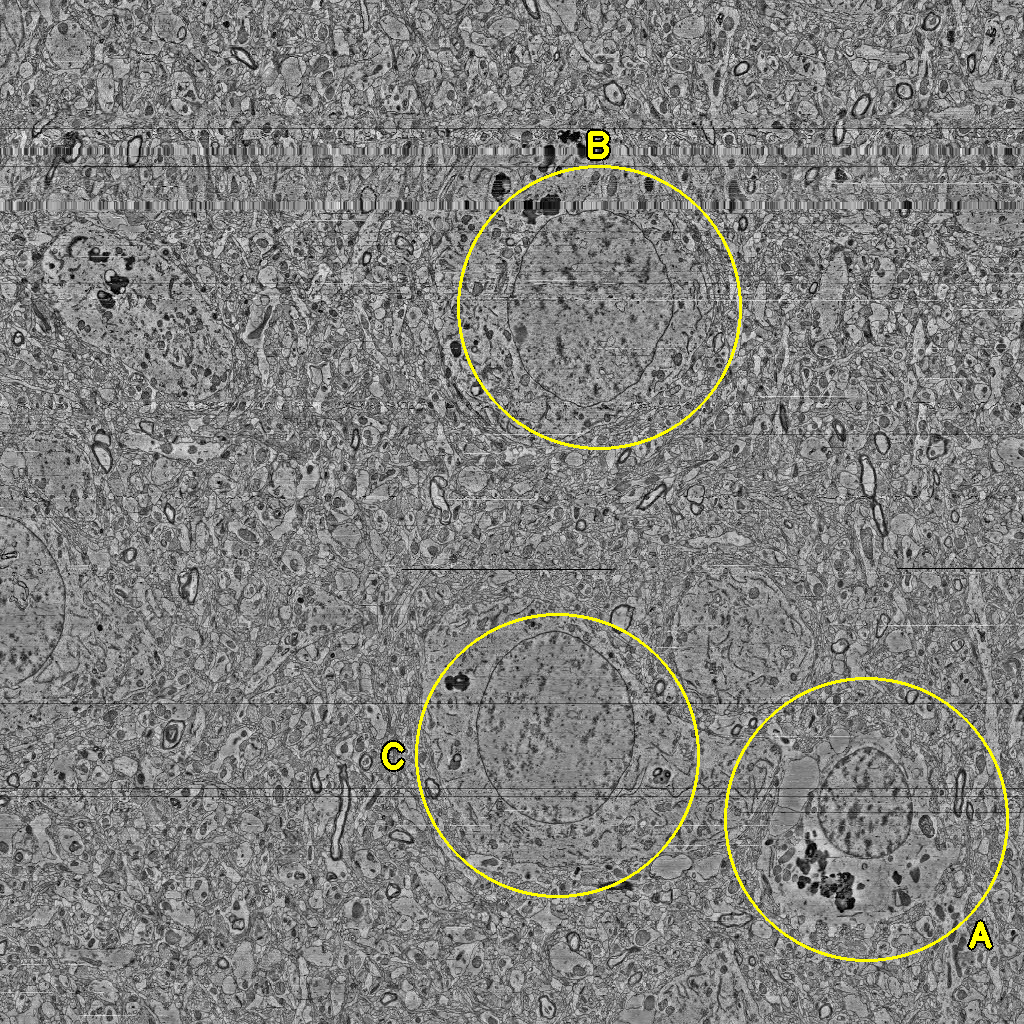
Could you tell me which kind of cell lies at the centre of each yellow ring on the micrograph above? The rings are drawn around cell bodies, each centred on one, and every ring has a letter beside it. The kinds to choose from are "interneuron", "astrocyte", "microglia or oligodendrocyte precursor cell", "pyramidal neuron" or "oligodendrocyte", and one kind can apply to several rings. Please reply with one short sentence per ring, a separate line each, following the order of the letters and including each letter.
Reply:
Ring A circles an astrocyte.
Ring B circles a pyramidal neuron.
Ring C circles a pyramidal neuron.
